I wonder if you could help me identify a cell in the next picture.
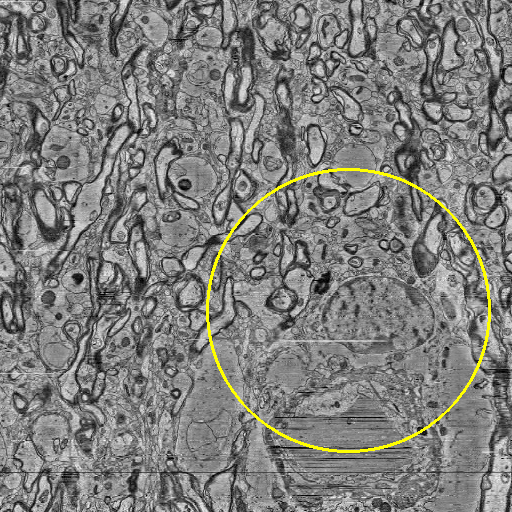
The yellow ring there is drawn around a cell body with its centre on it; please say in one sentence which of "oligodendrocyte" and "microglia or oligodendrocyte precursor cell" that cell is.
The yellow ring is centred on a microglial cell or oligodendrocyte precursor cell.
